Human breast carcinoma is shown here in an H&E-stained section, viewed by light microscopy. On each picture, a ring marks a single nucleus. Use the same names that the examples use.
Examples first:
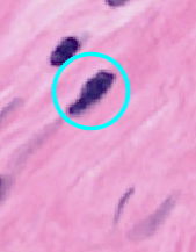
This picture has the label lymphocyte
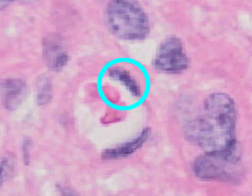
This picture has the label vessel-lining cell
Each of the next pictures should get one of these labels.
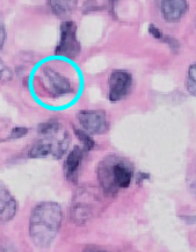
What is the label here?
vessel-lining cell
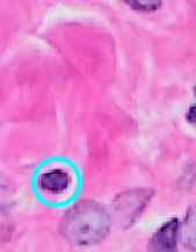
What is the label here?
lymphocyte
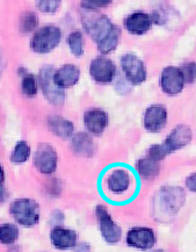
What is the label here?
lymphocyte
